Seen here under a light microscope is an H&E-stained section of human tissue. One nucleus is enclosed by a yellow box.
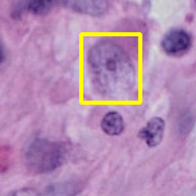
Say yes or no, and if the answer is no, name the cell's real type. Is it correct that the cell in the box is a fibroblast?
Yes.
